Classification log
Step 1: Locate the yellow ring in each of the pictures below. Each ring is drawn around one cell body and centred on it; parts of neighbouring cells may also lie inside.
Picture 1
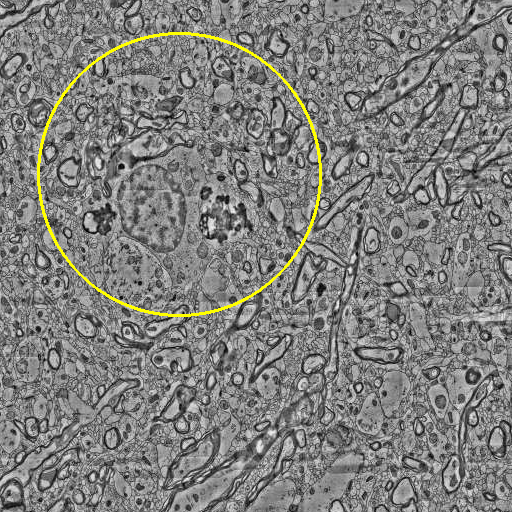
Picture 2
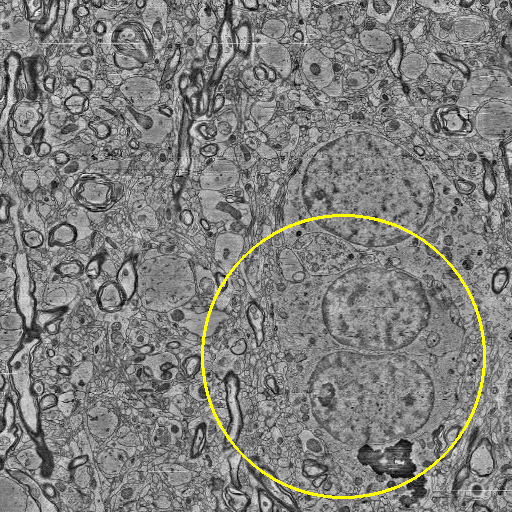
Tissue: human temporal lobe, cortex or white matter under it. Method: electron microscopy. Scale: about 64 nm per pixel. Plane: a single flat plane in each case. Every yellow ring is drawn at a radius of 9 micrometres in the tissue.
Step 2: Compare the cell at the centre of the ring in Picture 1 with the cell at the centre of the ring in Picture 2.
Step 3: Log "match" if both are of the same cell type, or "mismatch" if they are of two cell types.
match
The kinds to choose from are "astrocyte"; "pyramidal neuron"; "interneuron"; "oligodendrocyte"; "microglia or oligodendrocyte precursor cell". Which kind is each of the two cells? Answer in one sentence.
Both the first and the second picture show an oligodendrocyte in the ring.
